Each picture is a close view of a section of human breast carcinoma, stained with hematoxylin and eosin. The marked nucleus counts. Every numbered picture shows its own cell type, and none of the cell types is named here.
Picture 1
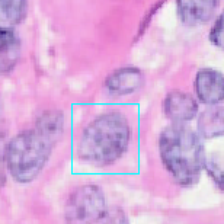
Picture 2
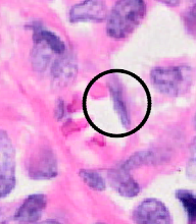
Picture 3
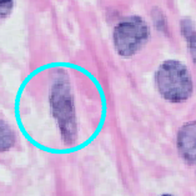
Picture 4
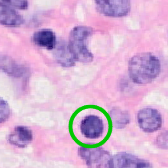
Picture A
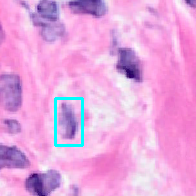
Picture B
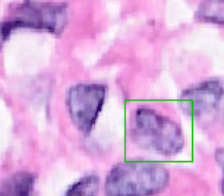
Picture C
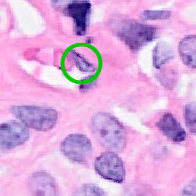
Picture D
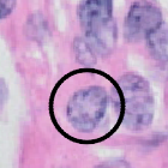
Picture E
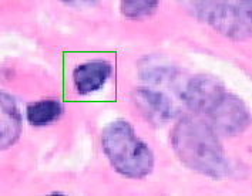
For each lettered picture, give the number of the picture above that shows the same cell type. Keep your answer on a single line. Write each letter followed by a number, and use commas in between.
A 3, B 1, C 2, D 1, E 4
